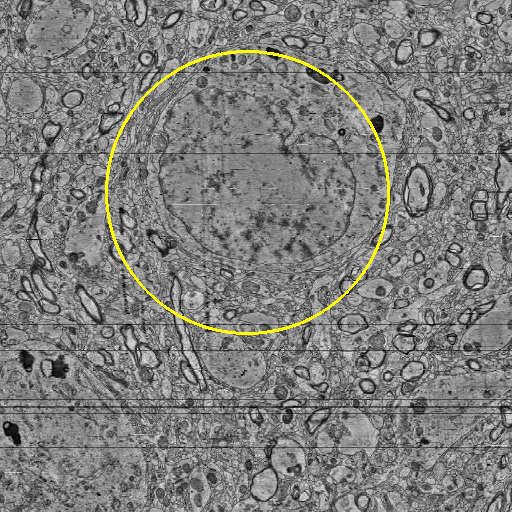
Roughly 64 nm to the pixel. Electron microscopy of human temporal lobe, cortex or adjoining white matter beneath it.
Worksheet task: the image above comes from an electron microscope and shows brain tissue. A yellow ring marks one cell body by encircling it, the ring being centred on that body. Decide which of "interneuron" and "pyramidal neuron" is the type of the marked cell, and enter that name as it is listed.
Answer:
pyramidal neuron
